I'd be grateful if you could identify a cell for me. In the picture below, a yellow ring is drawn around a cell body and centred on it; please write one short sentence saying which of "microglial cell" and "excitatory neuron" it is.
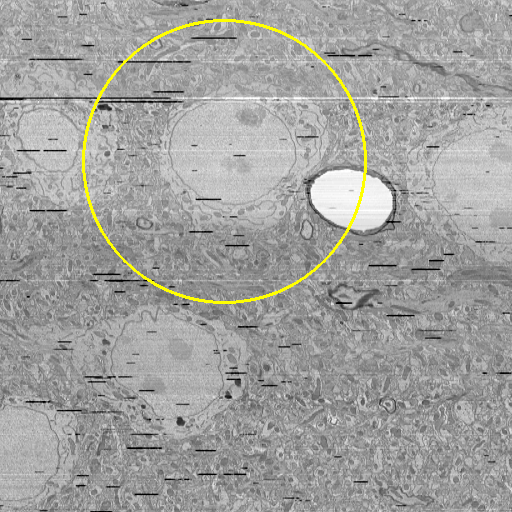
The cell under the ring's centre is an excitatory neuron.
